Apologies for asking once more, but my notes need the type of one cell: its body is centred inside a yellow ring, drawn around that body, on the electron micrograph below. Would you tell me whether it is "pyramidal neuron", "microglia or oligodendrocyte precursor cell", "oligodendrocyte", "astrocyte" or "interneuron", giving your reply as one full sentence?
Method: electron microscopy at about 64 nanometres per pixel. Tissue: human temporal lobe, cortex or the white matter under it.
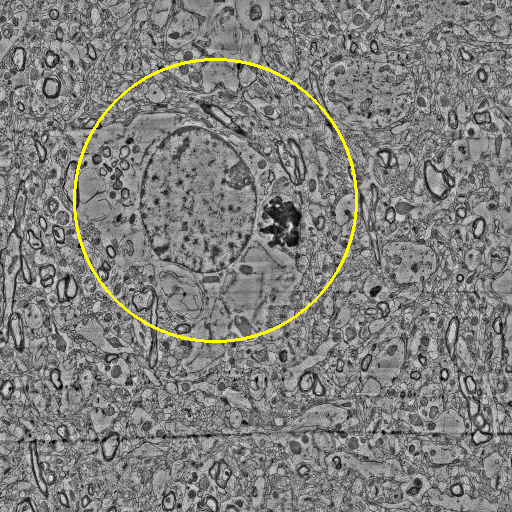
The cell that the yellow ring is centred on is an astrocyte in this micrograph.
